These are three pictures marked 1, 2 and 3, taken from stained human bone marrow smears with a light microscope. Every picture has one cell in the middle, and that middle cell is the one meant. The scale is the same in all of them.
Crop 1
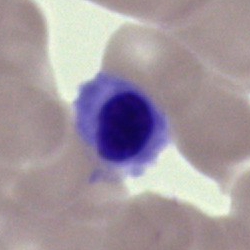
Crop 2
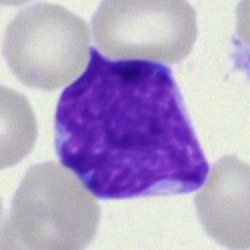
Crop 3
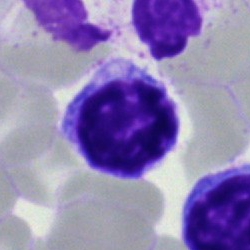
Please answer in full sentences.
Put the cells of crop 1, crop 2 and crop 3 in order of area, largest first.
The order is 2, 3, 1, beginning with the largest.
